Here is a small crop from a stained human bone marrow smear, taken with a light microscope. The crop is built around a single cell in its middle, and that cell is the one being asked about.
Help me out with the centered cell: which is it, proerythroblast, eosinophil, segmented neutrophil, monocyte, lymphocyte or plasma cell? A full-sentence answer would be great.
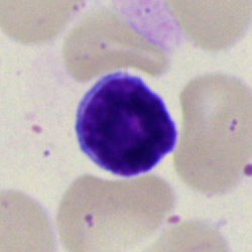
The middle of this crop is occupied by a lymphocyte.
